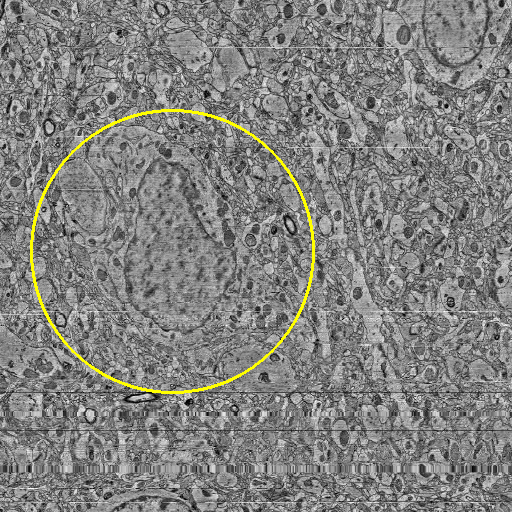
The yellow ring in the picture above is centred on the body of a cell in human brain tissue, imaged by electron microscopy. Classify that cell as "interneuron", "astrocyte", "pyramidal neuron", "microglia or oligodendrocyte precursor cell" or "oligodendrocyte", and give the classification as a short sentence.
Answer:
The cell in the middle of the ring is an interneuron.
